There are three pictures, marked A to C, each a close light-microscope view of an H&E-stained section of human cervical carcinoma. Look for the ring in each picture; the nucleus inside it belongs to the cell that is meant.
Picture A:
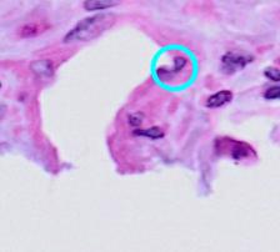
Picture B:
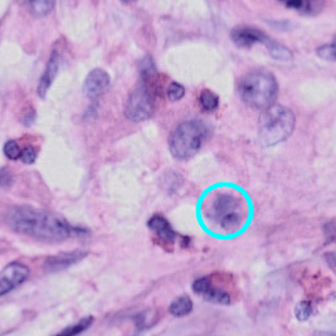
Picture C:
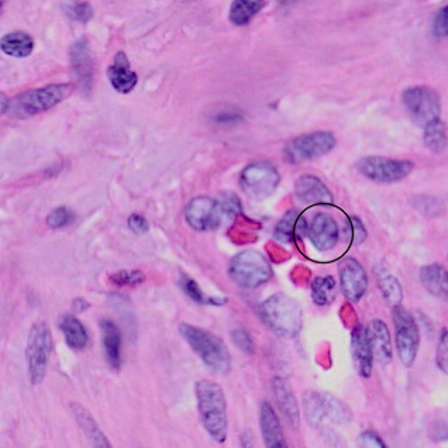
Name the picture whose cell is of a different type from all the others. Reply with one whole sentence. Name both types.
Unlike the rest, which show endothelial cells, picture B shows a “macrophage or monocyte”.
